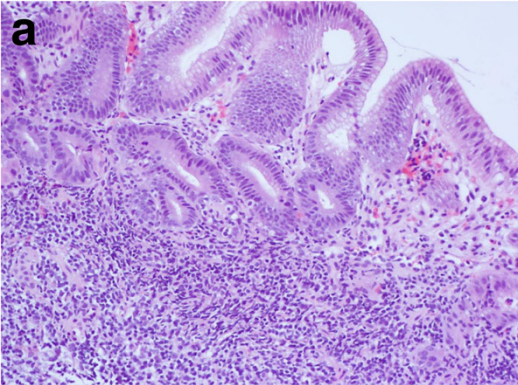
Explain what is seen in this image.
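This is gastric mucosa whose lamina propria is packed with a small lymphocyte infiltrate of monotonous appearance. The foveolar epithelium and glands are at the top, lined by tall columnar cells with pale mucinous cytoplasm. Beneath them a dense sheet of small cells with round, dark nuclei and scant cytoplasm spreads out and pushes the glands apart. The cells look much alike in size and shape, without the mixed look of ordinary inflammation.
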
